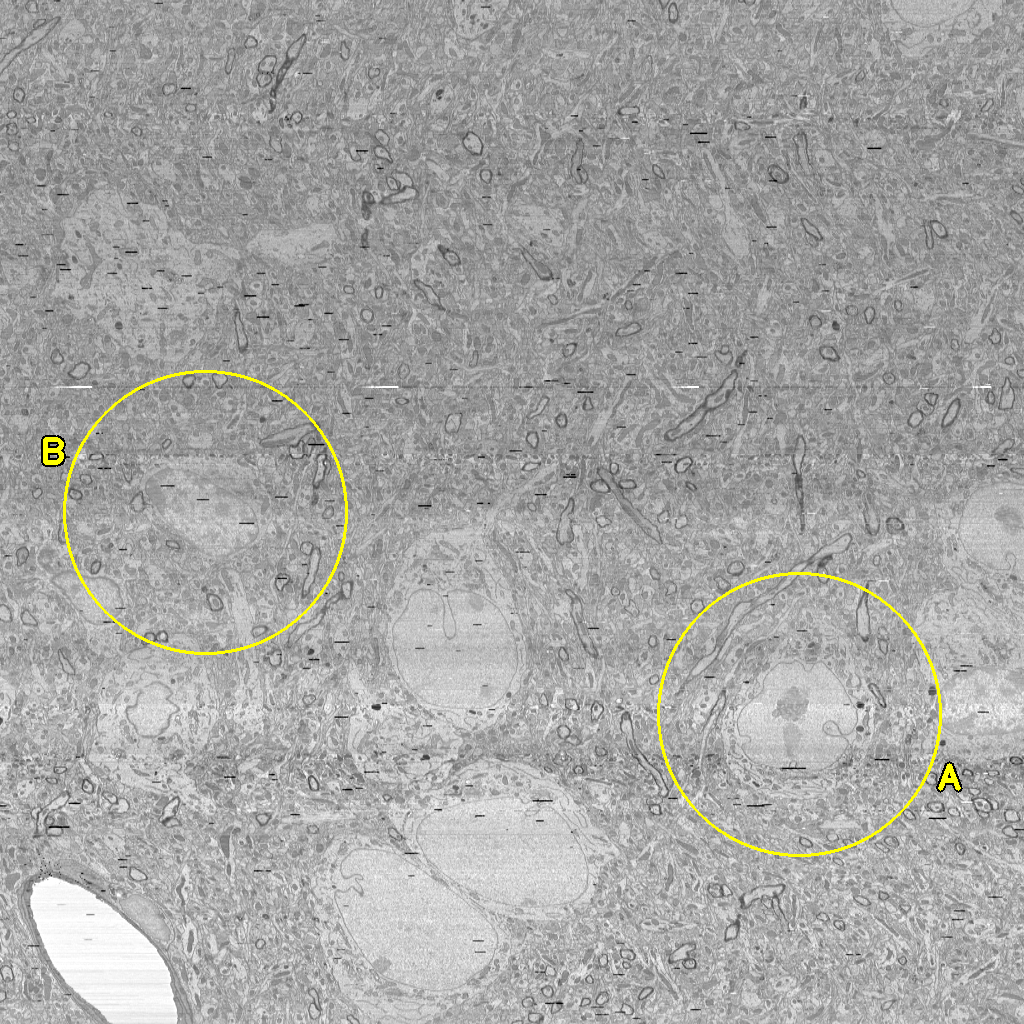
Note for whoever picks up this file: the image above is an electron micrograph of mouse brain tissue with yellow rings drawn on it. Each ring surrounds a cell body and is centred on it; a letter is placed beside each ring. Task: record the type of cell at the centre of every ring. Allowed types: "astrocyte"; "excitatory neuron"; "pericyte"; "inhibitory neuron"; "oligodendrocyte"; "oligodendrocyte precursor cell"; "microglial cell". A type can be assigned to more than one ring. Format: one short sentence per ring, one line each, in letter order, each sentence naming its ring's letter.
The ring marked A is centred on an inhibitory neuron.
The ring marked B is centred on an oligodendrocyte.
